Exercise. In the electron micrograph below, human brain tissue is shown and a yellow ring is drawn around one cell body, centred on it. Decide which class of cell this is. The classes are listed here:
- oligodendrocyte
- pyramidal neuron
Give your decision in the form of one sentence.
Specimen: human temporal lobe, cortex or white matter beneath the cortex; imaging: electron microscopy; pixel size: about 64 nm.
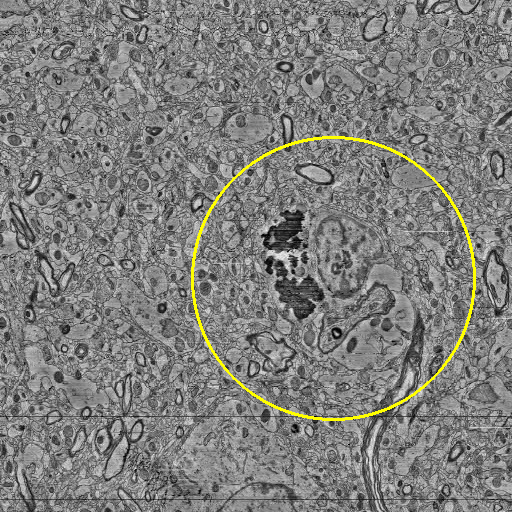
The cell body marked by the ring belongs to an oligodendrocyte.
